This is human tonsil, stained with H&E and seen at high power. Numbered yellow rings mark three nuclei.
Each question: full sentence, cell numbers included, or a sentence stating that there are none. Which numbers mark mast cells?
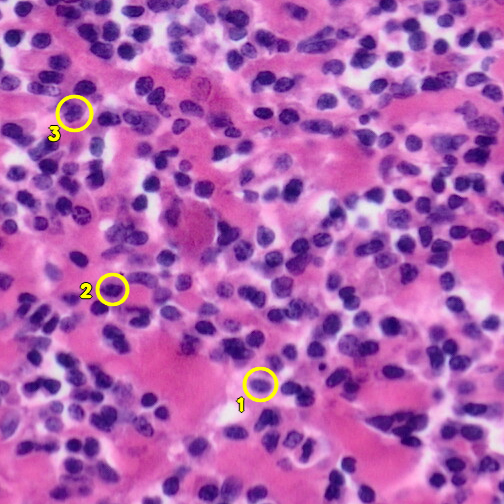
Cell 1, and no other numbered cell, is a mast cell.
